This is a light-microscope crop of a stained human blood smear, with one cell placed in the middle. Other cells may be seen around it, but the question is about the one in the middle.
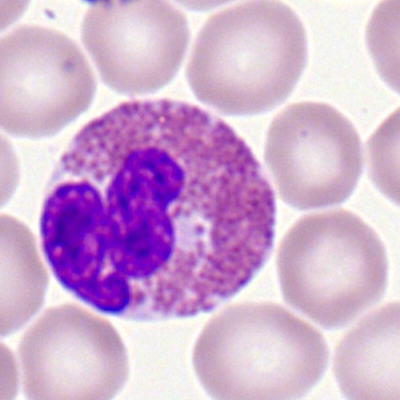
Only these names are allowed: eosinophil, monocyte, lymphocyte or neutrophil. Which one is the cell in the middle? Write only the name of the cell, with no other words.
eosinophil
